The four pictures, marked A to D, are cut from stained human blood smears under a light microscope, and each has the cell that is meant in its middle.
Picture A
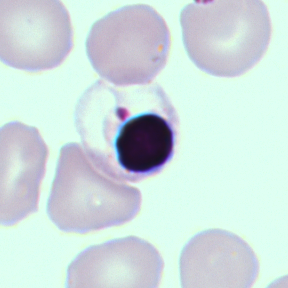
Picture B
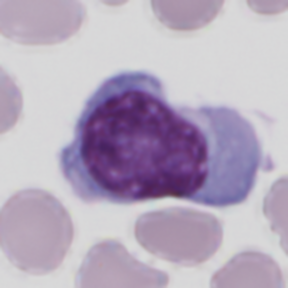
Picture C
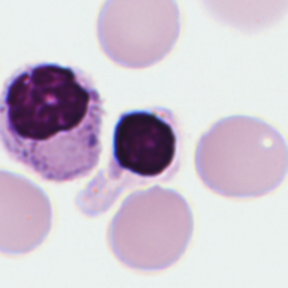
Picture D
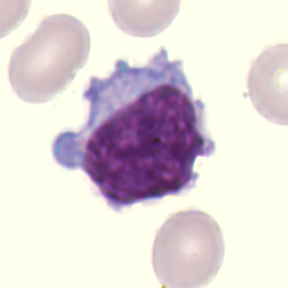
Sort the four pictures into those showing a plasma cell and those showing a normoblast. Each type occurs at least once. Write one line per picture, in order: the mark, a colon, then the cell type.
A: normoblast
B: plasma cell
C: normoblast
D: plasma cell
